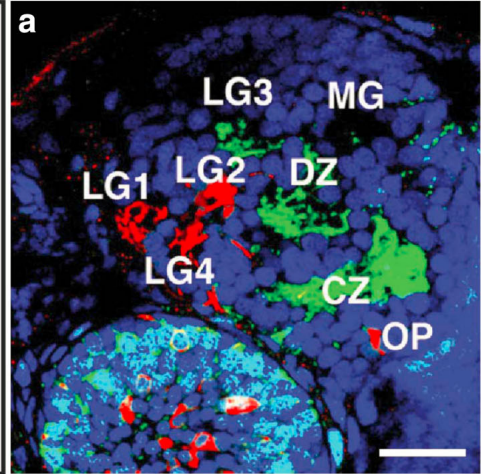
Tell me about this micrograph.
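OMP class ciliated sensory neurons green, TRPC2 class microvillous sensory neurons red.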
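Confocal section through the olfactory bulb, in which densely packed round nuclei in blue fill the tissue. Green and red labelled neuropil forms separate, irregular patches among the nuclei, the protoglomeruli, with the green patches lying centrally and the red patches lying more laterally and as one small spot near the lower right. The two colours do not overlap in any patch.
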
